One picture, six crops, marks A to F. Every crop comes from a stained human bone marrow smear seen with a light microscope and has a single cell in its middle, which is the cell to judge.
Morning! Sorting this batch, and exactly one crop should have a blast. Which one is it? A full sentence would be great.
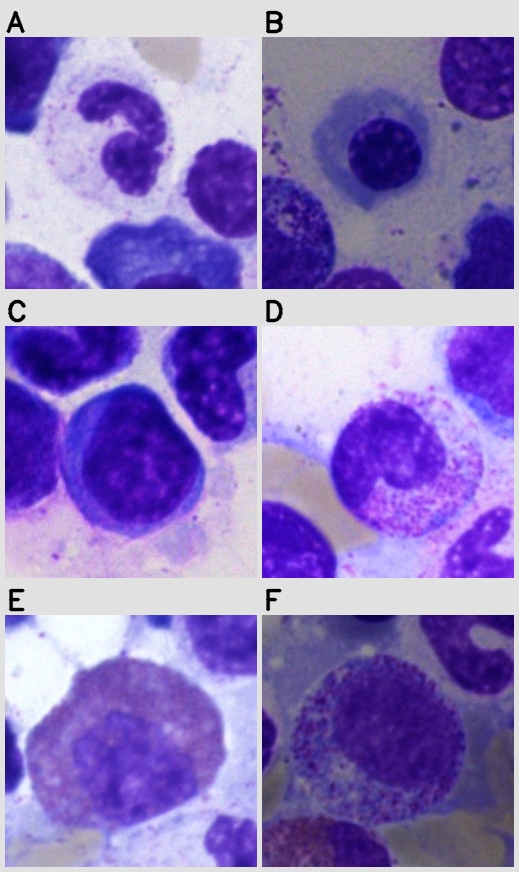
The crop bearing a blast is crop C.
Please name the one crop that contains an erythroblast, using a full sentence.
The sole crop showing an erythroblast is crop B.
